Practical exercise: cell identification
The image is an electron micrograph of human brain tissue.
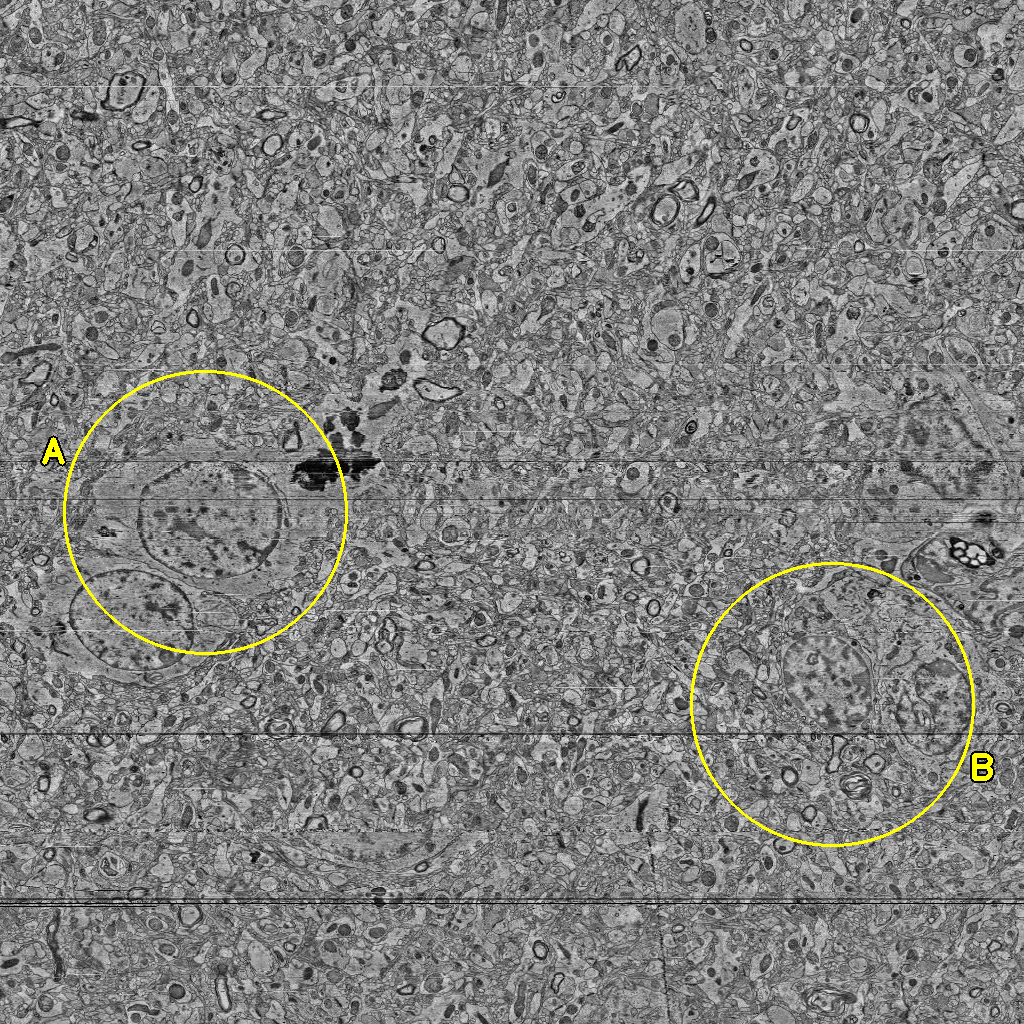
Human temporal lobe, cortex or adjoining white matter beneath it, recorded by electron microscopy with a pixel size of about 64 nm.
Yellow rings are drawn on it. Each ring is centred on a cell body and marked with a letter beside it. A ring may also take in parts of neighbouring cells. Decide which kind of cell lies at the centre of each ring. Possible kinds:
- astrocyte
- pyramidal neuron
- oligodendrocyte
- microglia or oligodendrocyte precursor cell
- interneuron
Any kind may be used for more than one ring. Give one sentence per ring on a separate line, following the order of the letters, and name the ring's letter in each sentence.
The cell in the middle of ring A is an astrocyte.
The cell in the middle of ring B is an oligodendrocyte.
